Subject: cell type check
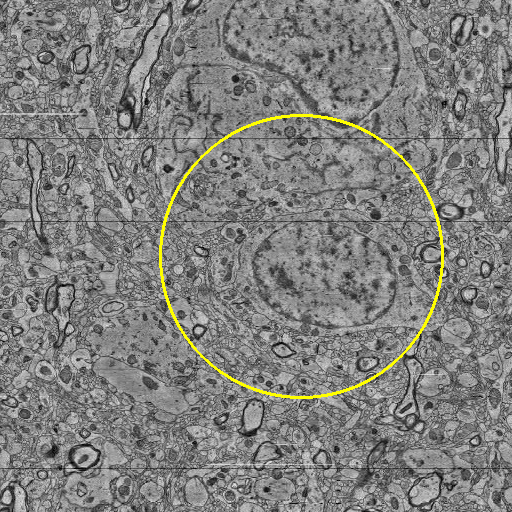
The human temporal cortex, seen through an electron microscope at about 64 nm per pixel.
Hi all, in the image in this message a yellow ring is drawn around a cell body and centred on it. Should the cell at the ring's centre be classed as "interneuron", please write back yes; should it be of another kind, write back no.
yes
